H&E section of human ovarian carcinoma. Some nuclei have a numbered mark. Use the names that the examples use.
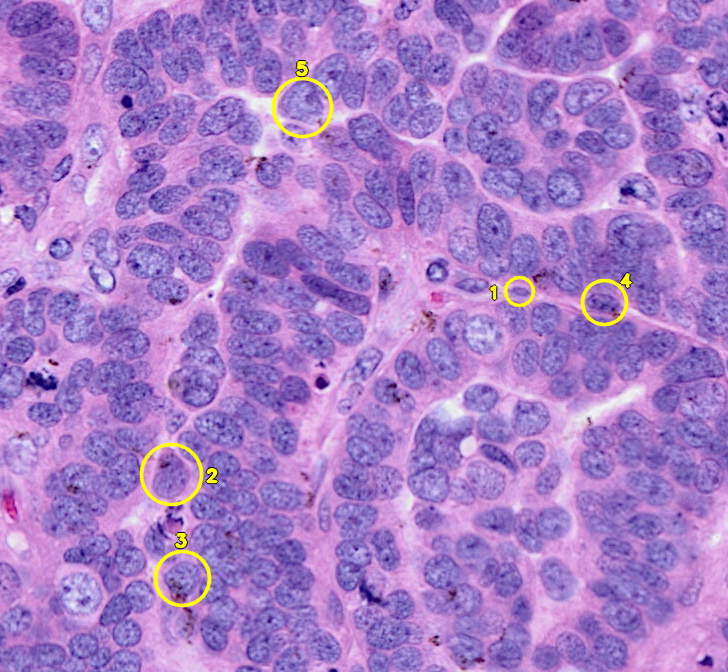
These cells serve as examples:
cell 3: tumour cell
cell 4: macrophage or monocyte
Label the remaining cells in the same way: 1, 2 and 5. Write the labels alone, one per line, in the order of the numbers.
macrophage or monocyte
tumour cell
tumour cell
